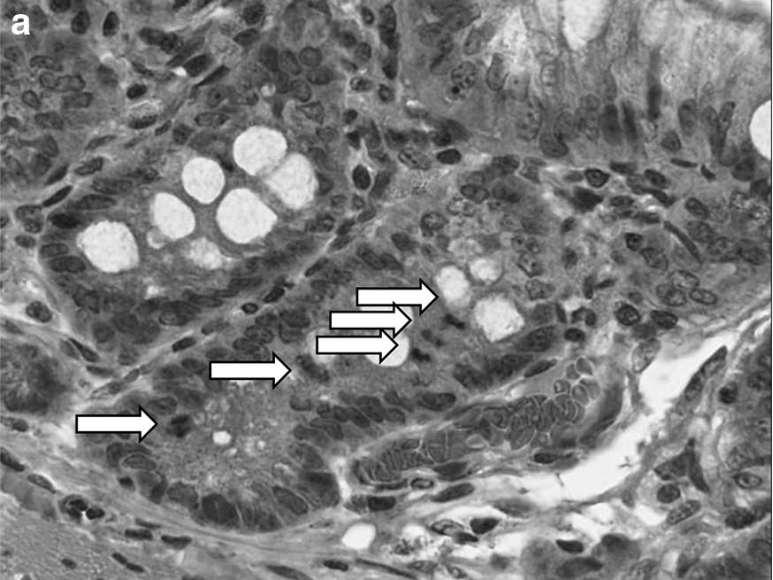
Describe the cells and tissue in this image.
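Intestinal crypts in cross-section, lined by columnar epithelial cells with oval, crowded nuclei and scattered pale round goblet cells. Several lining cells show dark, condensed, clumped chromatin of dividing cells. Thin connective tissue with elongated nuclei lies between the crypts.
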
